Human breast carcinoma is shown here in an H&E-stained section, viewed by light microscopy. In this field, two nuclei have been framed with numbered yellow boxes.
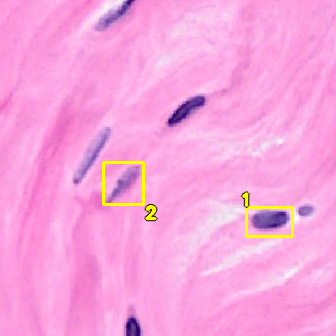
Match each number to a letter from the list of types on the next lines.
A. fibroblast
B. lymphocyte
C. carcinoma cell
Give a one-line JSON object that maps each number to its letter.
{"1": "B", "2": "A"}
